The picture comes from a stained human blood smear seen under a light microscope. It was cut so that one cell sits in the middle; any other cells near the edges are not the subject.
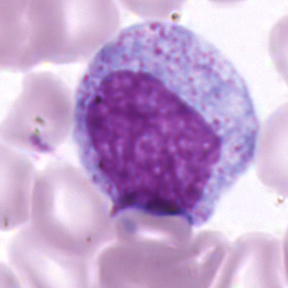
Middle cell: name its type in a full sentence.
Where the crop is centred, there is a promyelocyte.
